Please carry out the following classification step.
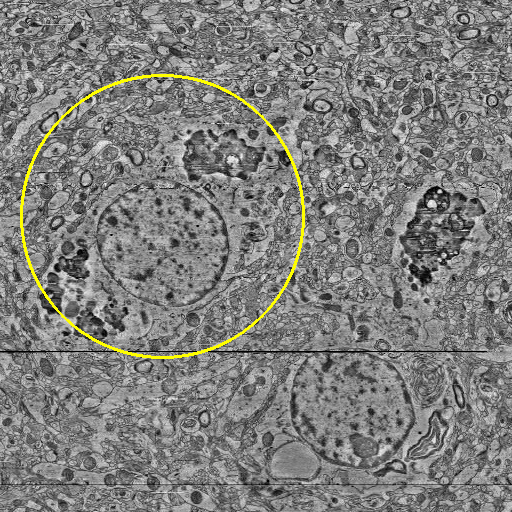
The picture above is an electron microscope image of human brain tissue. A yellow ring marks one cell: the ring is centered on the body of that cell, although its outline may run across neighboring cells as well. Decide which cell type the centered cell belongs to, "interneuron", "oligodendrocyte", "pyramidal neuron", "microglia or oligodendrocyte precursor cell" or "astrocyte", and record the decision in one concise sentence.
The cell centered in the yellow ring is an astrocyte.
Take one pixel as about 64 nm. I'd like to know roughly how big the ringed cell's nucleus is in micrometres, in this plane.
The nucleus measures about 8 micrometers across in this plane.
